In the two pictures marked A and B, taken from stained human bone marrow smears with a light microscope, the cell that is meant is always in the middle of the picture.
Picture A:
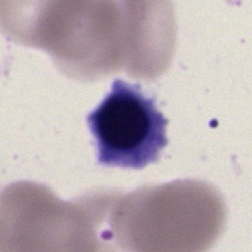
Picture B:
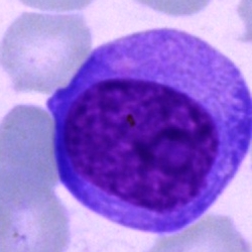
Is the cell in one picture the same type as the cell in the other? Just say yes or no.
no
